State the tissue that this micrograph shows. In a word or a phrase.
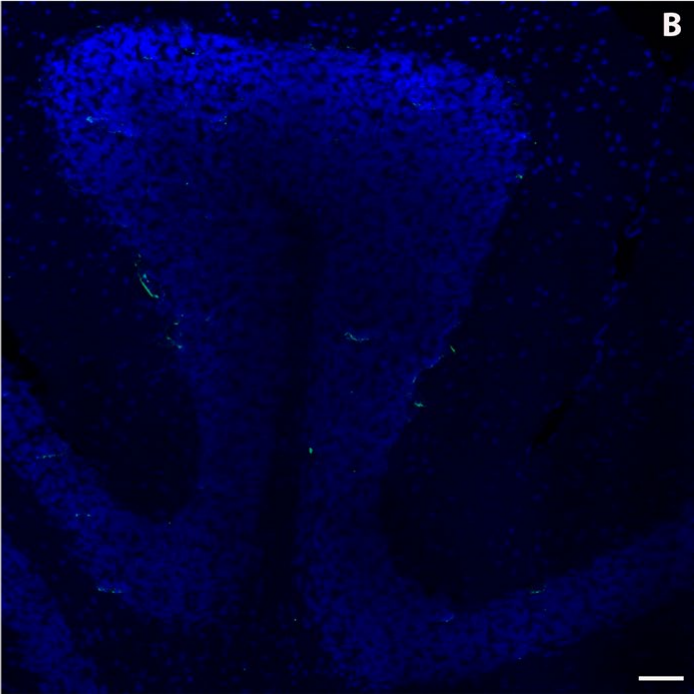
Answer: cerebellum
